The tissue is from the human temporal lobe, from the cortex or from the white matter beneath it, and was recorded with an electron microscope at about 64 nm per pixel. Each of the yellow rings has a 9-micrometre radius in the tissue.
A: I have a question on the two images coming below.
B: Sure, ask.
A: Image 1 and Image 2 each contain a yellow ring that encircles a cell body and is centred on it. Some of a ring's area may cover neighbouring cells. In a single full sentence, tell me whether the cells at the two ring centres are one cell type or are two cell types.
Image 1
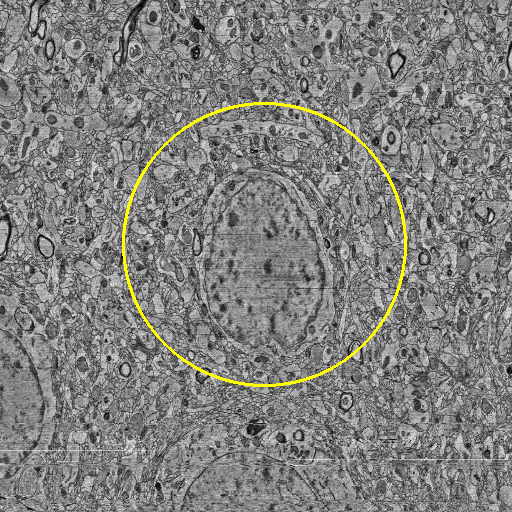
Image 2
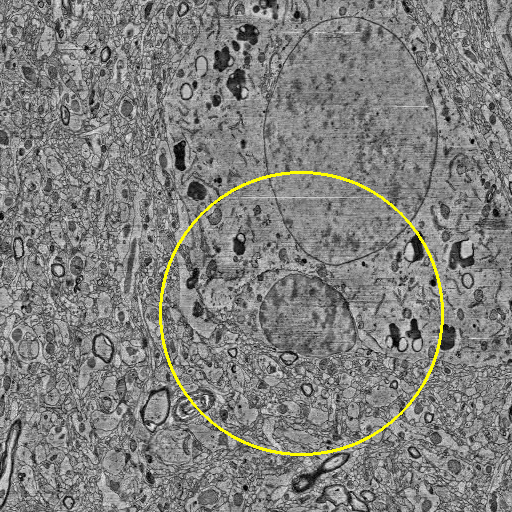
As for the ring-centre cells, the one in Image 1 and the one in Image 2 are two cell types.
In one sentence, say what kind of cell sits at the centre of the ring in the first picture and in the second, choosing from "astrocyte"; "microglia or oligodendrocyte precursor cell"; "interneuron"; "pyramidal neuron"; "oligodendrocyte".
The first picture's ringed cell is an interneuron, while the second picture's is an oligodendrocyte.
